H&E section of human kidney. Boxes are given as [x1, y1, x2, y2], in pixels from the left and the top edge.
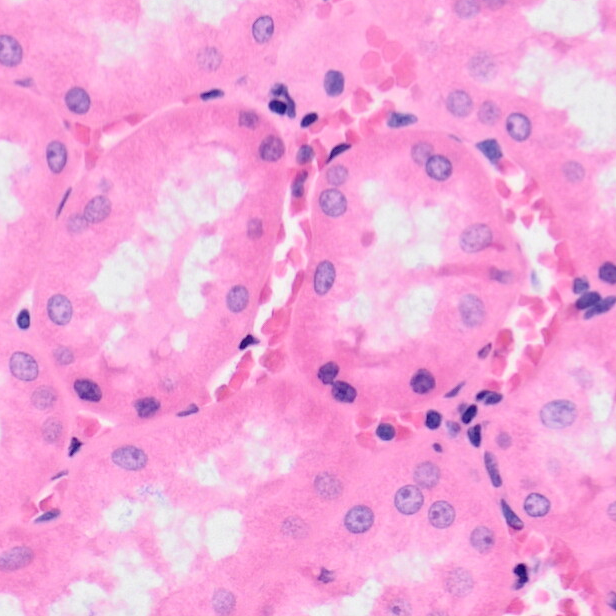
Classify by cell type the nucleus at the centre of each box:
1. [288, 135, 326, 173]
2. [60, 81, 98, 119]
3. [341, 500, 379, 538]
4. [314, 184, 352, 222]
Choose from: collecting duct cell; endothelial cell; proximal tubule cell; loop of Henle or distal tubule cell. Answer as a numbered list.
1. endothelial cell
2. proximal tubule cell
3. proximal tubule cell
4. proximal tubule cell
